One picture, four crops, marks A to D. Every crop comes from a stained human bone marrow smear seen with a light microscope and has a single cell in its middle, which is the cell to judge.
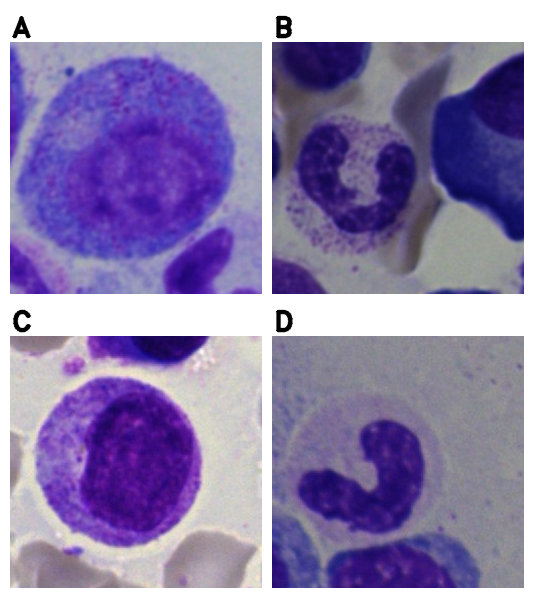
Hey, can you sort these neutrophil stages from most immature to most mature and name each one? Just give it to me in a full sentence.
In order from least mature to most mature, the crops stand crop A (a promyelocyte), crop C (a myelocyte), crop D (a band neutrophil) and crop B (a segmented neutrophil).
